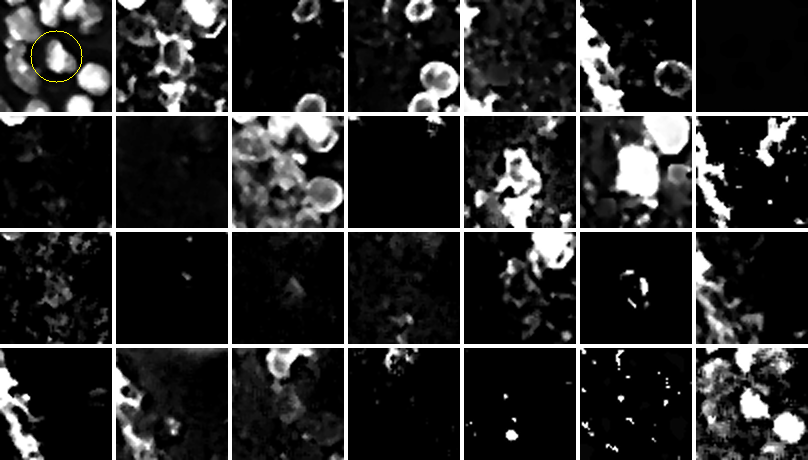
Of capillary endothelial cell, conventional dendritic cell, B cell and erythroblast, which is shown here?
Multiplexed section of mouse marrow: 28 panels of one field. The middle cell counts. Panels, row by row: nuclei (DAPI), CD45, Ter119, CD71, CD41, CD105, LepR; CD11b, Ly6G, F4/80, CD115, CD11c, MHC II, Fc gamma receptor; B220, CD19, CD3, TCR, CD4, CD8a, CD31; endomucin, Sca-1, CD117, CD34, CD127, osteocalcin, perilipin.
conventional dendritic cell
